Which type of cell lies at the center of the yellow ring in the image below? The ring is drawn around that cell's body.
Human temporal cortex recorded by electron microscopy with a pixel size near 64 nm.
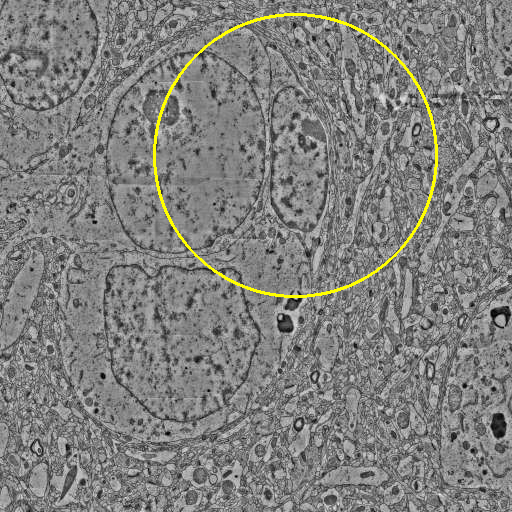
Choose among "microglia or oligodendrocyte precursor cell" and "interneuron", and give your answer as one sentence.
The cell body at the center belongs to a microglial cell or oligodendrocyte precursor cell.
